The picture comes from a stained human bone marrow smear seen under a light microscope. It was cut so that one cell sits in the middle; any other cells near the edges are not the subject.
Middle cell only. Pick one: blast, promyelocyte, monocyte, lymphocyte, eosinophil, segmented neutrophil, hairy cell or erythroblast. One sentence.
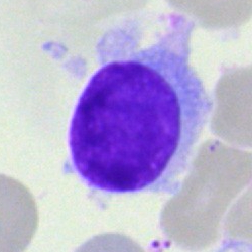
As for the cell in the middle, it is a hairy cell.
